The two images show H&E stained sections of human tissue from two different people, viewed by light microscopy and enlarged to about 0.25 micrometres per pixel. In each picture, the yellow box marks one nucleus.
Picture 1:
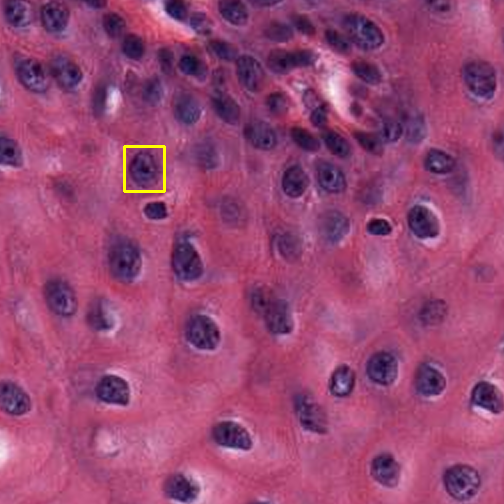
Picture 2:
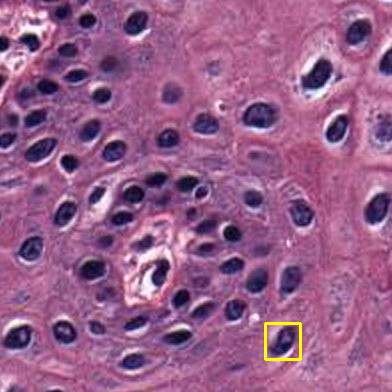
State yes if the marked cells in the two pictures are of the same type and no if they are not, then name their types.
Yes, both are squamous epithelial cells.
